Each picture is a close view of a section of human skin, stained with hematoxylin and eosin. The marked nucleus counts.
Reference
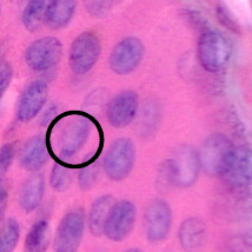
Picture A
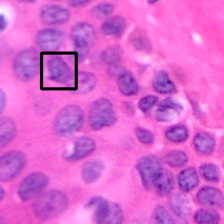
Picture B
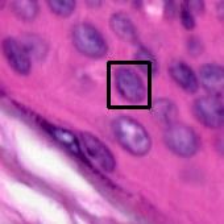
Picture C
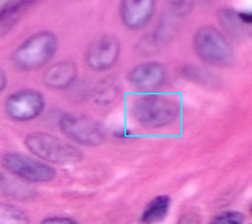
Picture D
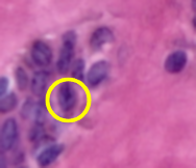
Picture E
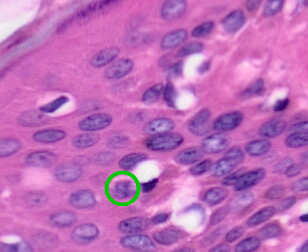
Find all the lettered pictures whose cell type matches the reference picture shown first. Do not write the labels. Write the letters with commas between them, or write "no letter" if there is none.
A, B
